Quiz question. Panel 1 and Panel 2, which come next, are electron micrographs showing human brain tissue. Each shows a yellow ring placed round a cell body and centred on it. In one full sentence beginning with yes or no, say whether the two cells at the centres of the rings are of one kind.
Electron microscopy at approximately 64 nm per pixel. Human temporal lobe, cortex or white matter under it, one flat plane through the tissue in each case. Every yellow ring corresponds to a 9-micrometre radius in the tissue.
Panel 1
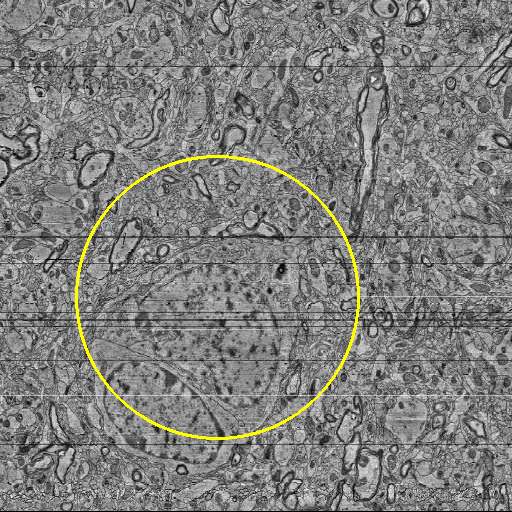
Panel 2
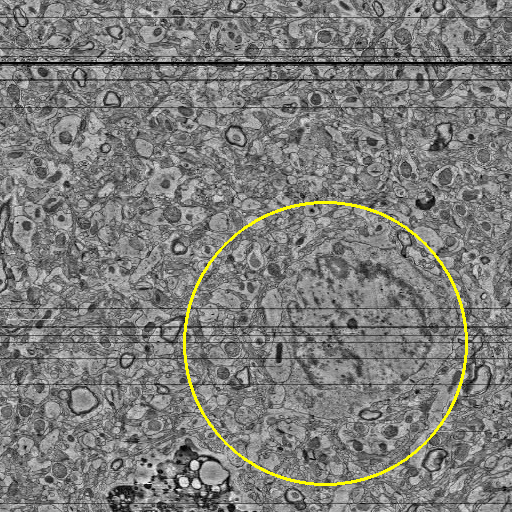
Yes, Panel 1 and Panel 2 show one kind of cell at the centre of the ring.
